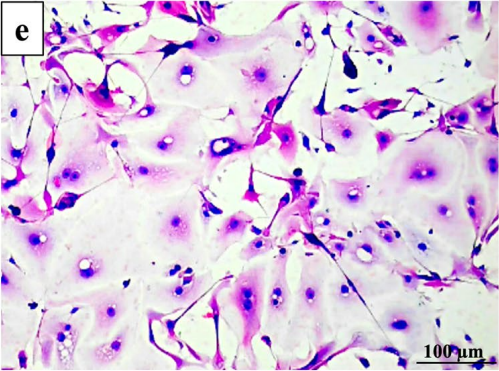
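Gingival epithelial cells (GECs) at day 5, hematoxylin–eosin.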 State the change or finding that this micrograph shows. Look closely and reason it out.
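Large flat cells with angular, many-sided outlines.
Conclusion: polygonal architecture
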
